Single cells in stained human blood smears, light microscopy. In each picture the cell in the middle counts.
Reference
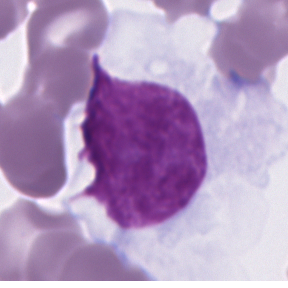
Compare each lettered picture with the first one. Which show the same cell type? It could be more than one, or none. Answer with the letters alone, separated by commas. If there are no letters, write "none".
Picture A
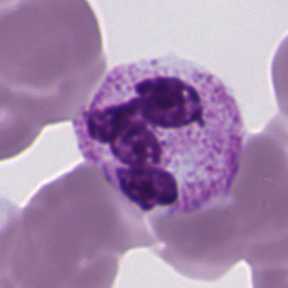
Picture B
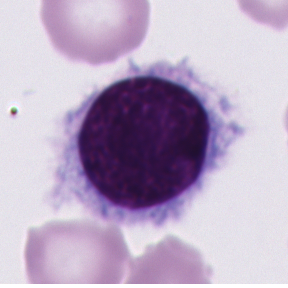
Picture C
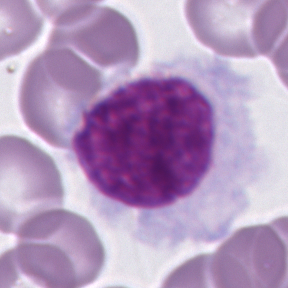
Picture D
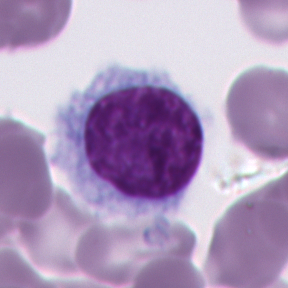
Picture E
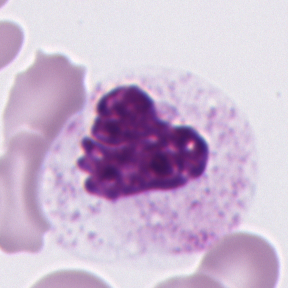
B, C, D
